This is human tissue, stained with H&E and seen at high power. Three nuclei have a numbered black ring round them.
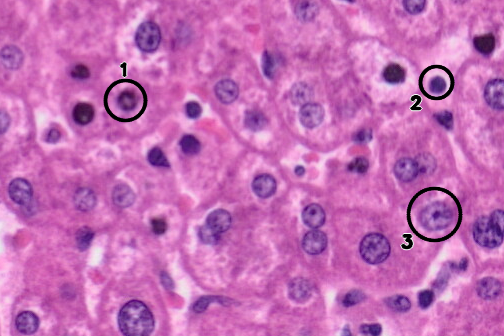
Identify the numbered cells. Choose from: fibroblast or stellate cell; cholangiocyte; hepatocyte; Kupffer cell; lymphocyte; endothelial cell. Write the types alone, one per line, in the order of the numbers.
hepatocyte
lymphocyte
hepatocyte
